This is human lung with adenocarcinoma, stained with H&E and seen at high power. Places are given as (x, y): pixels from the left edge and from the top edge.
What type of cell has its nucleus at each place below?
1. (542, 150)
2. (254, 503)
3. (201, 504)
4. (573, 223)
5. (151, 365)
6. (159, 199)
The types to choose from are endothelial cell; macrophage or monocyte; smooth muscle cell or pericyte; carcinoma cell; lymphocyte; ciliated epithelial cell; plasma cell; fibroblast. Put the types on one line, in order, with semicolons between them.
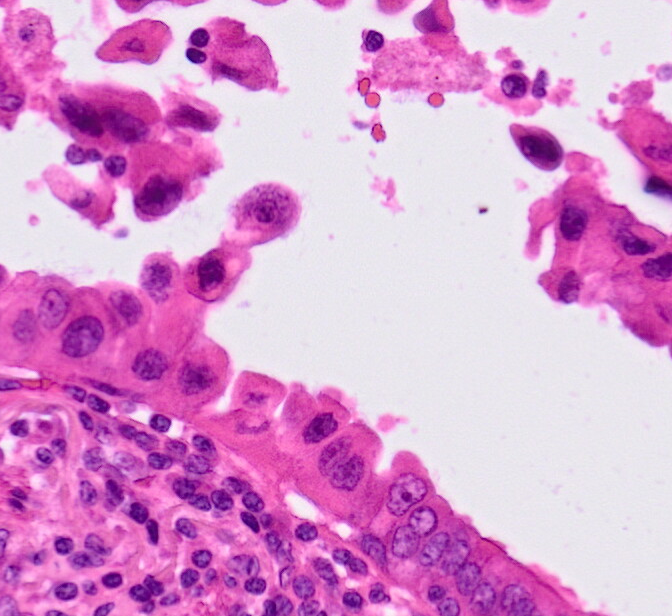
carcinoma cell; lymphocyte; lymphocyte; carcinoma cell; carcinoma cell; carcinoma cell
